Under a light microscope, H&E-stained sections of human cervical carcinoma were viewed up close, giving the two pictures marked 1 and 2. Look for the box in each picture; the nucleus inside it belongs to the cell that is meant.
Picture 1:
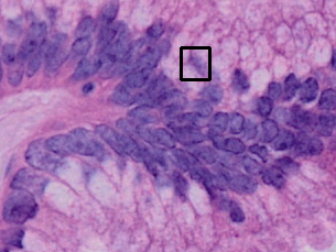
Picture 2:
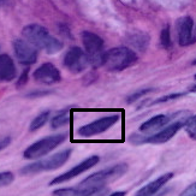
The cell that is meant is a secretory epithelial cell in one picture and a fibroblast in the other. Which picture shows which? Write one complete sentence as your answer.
Picture 1 shows a secretory epithelial cell and picture 2 shows a fibroblast.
